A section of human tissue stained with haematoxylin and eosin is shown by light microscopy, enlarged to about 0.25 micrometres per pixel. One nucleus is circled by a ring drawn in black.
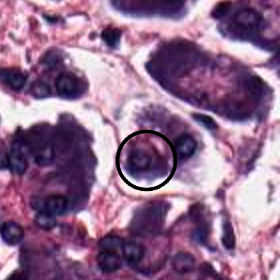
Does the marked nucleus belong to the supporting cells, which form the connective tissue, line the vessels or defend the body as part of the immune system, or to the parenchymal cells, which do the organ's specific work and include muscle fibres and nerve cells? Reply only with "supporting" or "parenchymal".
parenchymal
